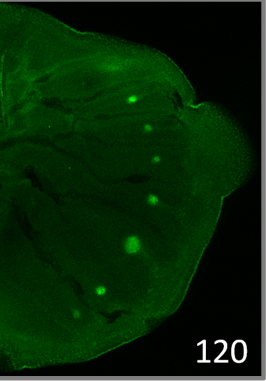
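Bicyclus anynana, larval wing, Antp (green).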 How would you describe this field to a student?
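The disc is a flat sheet of tissue crossed by darker branching lines that run toward the outer margin. Near the distal edge a curved row of small round green spots lies, one between each pair of dark lines, and one of the spots is larger and brighter than the rest. The rest of the tissue shows only faint green background.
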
